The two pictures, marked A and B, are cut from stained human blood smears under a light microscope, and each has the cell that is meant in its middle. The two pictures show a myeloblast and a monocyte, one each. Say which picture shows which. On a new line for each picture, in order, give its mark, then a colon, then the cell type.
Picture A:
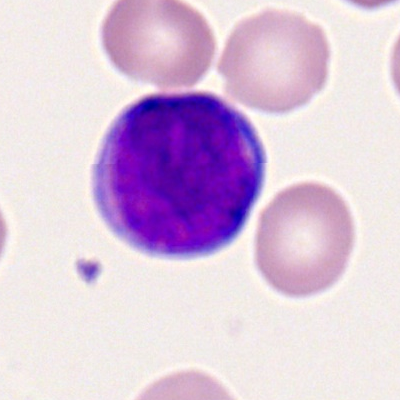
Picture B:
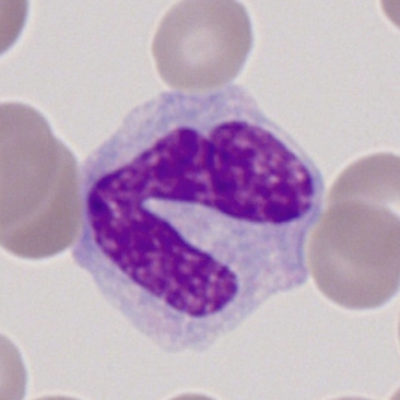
A: myeloblast
B: monocyte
